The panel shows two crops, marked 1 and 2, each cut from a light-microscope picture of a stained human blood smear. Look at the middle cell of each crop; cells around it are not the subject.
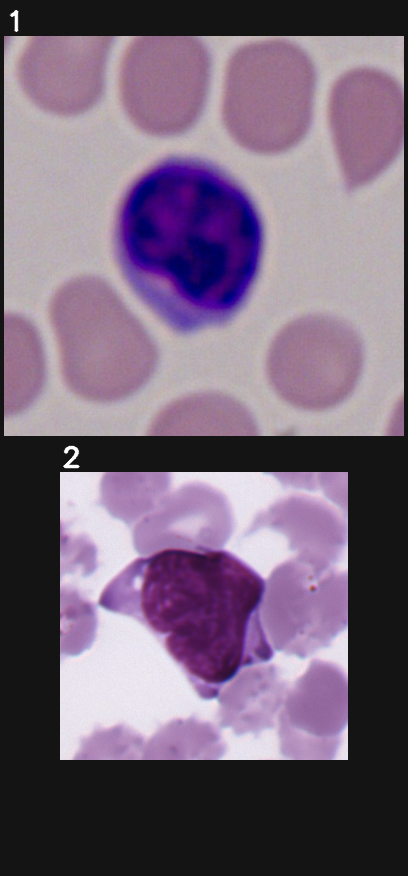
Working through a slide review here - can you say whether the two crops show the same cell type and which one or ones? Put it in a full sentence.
No, crop 1 shows a lymphocyte, whereas in crop 2 the cell is a blast.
